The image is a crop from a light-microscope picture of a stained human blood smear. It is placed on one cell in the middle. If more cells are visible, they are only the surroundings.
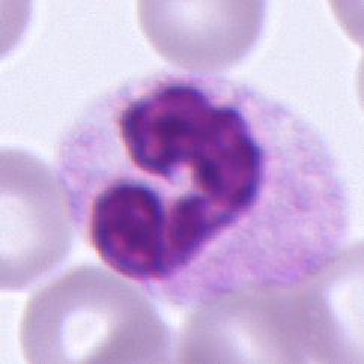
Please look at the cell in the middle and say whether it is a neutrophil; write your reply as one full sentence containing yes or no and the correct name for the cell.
Yes, in this crop the cell in the middle is a neutrophil.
